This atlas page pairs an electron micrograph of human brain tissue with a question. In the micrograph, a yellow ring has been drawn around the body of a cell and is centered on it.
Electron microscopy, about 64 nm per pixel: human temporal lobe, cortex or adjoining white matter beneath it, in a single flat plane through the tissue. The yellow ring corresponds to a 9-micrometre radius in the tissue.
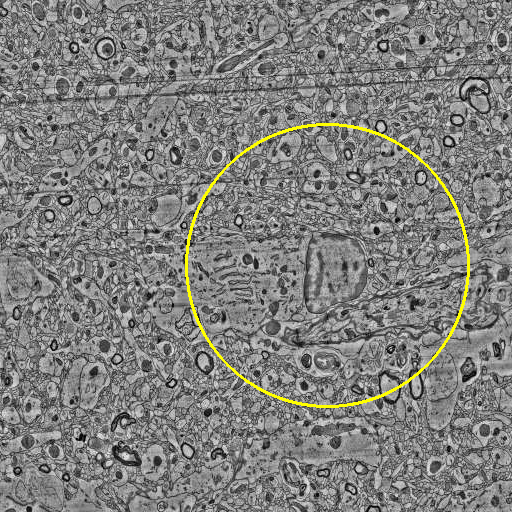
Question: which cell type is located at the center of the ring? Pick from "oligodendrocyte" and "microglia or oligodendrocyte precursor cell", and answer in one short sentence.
Located at the center of the ring is a microglial cell or oligodendrocyte precursor cell.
